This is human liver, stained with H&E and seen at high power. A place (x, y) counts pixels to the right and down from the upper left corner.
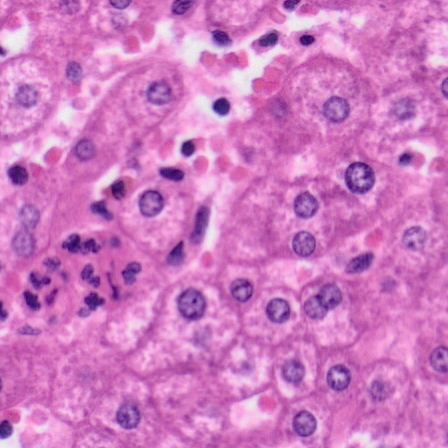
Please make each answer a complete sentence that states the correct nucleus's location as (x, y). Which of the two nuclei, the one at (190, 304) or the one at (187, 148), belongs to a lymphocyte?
Heads up, the nucleus at (187, 148) is the one that belongs to a lymphocyte.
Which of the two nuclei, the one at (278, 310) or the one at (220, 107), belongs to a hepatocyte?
That would be the nucleus at (278, 310); it belongs to a hepatocyte.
